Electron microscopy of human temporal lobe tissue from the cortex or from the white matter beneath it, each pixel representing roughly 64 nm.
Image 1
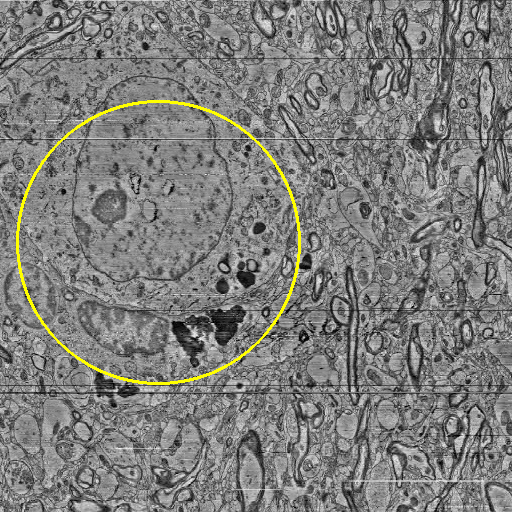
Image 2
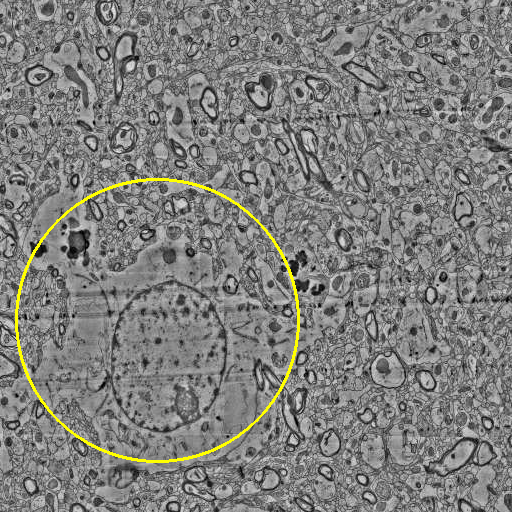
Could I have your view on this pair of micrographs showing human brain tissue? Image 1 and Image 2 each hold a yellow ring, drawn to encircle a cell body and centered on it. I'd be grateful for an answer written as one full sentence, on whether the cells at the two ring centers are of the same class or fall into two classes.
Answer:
The cells at the centers of the two rings fall into two classes.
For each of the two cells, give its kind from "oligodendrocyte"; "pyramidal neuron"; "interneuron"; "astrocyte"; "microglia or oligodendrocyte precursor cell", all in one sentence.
The first picture has a pyramidal neuron in its ring, the second has an astrocyte.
